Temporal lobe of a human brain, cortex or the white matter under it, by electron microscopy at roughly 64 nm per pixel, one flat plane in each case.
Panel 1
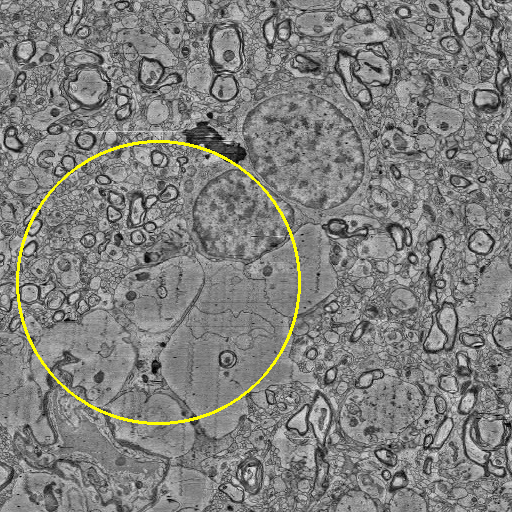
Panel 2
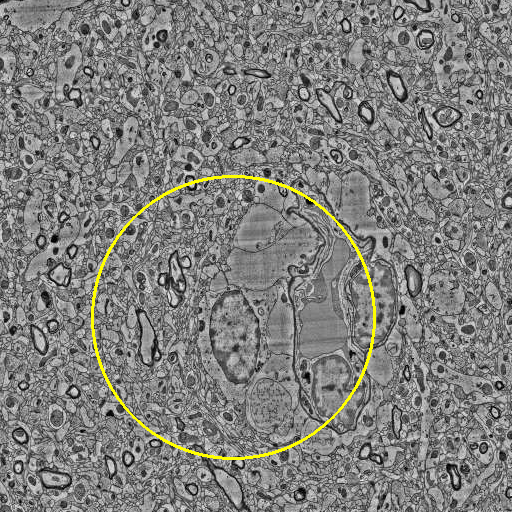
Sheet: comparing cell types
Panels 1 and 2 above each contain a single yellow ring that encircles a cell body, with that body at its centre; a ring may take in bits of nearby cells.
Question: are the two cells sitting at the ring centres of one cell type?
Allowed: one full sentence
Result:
Yes, the ring-centre cells in Panel 1 and Panel 2 are of one type.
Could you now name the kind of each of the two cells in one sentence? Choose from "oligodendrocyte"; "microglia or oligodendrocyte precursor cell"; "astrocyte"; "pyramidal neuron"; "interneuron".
The cell in the first picture is a microglial cell or oligodendrocyte precursor cell, and so is the one in the second.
